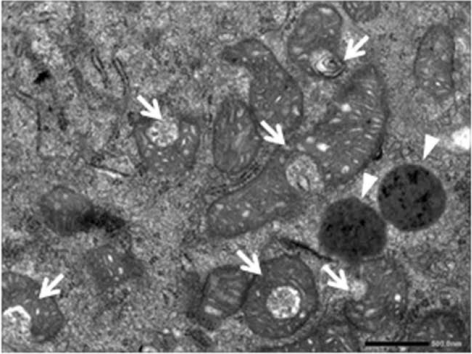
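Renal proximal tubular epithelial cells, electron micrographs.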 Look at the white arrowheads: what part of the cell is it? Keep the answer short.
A: Lysosome.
